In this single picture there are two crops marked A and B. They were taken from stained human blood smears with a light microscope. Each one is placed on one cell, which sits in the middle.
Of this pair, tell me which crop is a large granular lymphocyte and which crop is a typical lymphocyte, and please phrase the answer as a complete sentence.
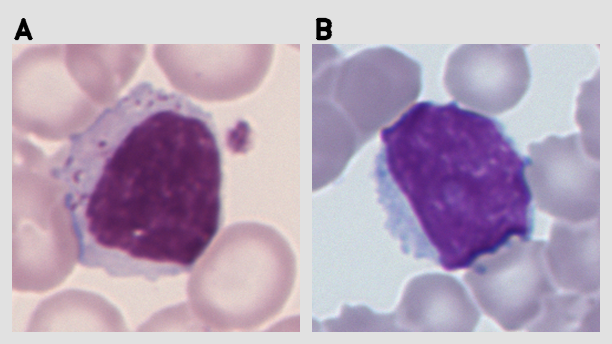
Displayed in crop A is a large granular lymphocyte, while crop B displays a typical lymphocyte.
